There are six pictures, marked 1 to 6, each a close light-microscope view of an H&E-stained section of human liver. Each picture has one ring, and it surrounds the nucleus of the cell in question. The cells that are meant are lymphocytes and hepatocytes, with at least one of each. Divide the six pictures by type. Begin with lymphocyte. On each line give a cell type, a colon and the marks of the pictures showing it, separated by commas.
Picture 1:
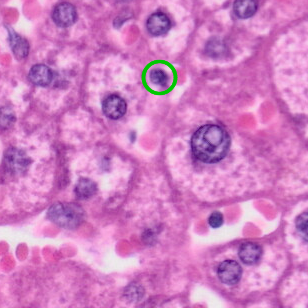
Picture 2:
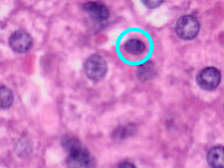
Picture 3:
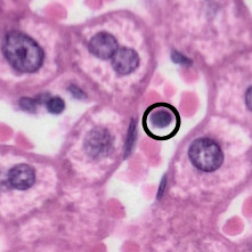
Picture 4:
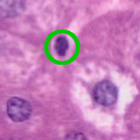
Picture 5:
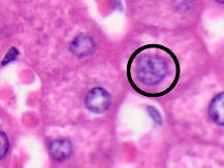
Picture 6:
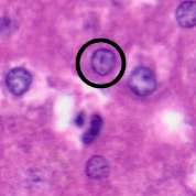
lymphocyte: 1, 2, 3, 4
hepatocyte: 5, 6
